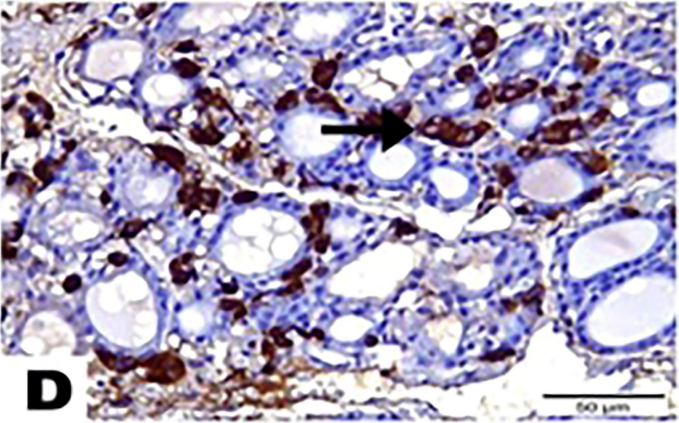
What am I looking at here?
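This is thyroid gland, with many small round follicles holding pale colloid and lined by a single layer of follicle cells whose nuclei stain blue. Scattered between and alongside the follicles are brown-stained para-follicular cells, lying singly or in small groups in the spaces outside the follicle lining. The brown cells are rounded with dense cytoplasm, clearly set apart from the unstained follicle cells.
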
